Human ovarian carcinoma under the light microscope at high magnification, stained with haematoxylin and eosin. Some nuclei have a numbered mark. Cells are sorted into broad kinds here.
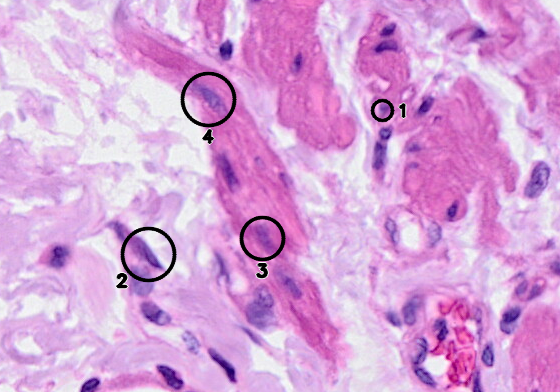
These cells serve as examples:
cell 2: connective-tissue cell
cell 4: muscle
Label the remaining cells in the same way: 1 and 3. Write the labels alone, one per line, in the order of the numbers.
muscle
muscle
